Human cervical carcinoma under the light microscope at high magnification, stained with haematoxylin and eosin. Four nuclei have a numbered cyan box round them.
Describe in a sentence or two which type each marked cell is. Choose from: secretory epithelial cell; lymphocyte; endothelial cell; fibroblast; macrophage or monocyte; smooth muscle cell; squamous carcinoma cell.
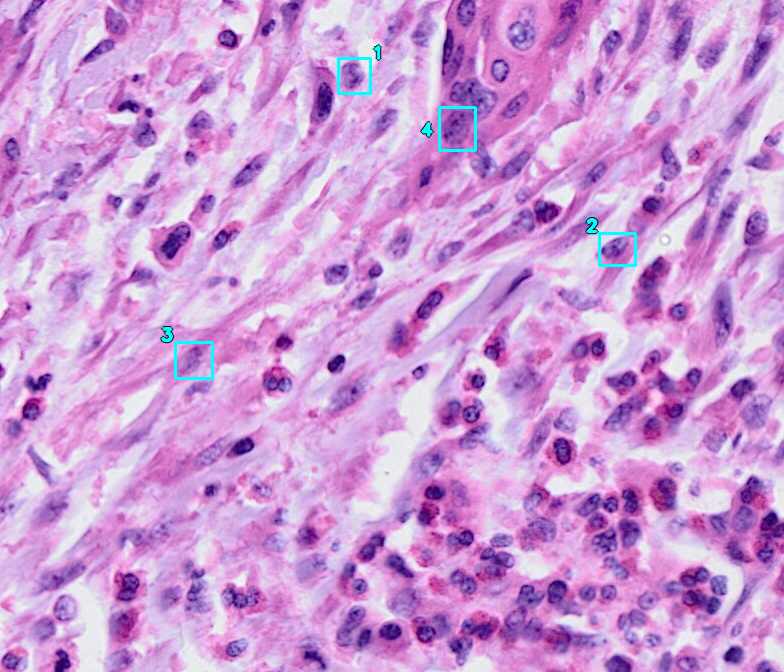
Cell 1 is a macrophage or monocyte, cell 2 is a macrophage or monocyte, cell 3 is a fibroblast and cell 4 is a squamous carcinoma cell.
